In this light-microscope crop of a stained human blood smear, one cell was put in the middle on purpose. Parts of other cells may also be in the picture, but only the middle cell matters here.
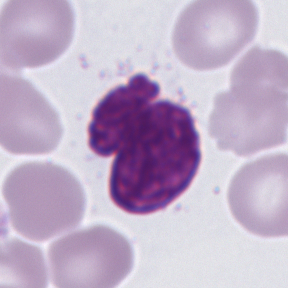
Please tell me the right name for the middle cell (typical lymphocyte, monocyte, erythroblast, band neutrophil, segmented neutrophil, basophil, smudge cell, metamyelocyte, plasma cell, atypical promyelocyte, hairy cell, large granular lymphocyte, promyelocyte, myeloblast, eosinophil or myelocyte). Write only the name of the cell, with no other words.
smudge cell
